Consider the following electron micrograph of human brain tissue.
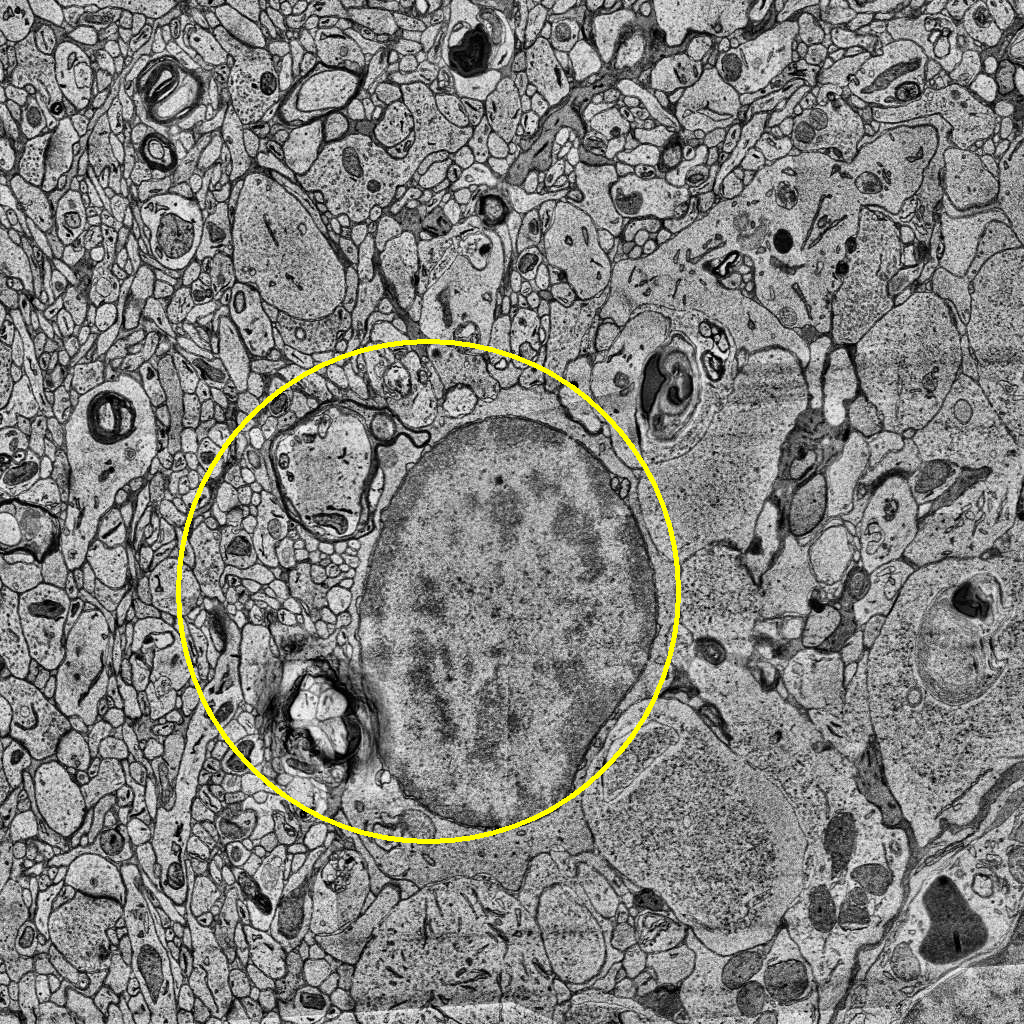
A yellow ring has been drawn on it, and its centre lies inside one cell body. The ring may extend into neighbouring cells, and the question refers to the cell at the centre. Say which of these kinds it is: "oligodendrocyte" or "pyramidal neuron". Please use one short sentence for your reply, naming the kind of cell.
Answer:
The centre of the ring falls on an oligodendrocyte.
